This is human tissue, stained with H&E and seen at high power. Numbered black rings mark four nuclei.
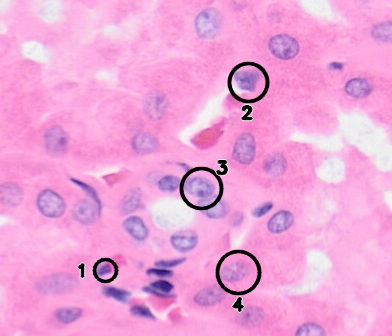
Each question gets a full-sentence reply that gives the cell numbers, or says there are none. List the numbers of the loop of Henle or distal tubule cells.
Without exception, the numbered cells are not loop of Henle or distal tubule cells.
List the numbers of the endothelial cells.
The cells carrying labels 1 and 2 are endothelial cells.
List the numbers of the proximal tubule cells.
It is only cell 4 that is a proximal tubule cell among the numbered cells.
